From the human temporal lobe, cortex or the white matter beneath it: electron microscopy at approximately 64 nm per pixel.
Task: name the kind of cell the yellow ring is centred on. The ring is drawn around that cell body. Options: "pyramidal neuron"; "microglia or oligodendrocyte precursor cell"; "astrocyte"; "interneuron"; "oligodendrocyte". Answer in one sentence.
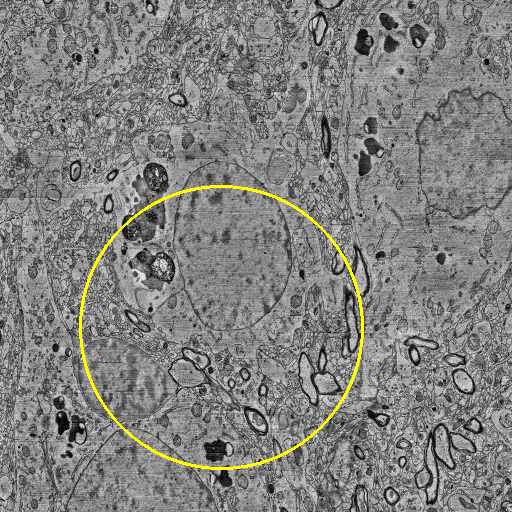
This cell body belongs to an astrocyte.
